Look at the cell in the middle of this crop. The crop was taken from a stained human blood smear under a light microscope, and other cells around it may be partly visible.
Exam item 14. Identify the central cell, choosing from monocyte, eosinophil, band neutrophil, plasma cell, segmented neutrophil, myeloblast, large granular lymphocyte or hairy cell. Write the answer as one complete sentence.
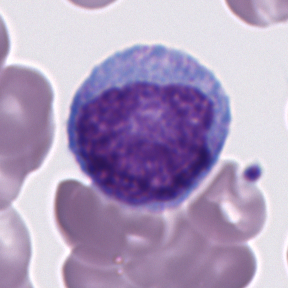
The crop shows a monocyte in its centre.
